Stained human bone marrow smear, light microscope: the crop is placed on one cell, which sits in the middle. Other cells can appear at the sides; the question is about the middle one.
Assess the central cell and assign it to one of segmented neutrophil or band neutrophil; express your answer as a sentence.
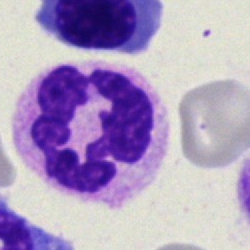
As for the central cell, it is a segmented neutrophil.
